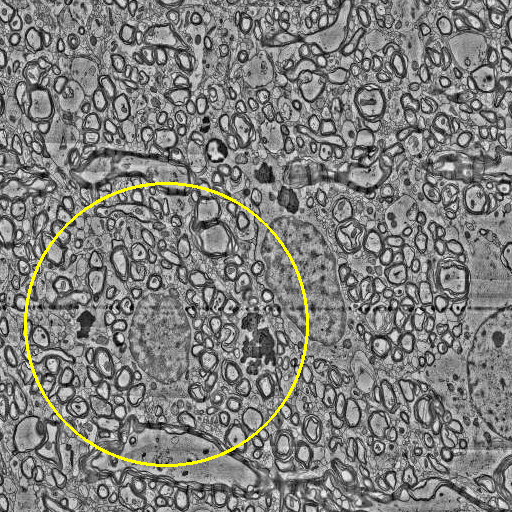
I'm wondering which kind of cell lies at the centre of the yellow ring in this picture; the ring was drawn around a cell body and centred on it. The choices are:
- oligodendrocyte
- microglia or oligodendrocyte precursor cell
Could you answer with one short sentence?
At the centre of the ring lies an oligodendrocyte.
